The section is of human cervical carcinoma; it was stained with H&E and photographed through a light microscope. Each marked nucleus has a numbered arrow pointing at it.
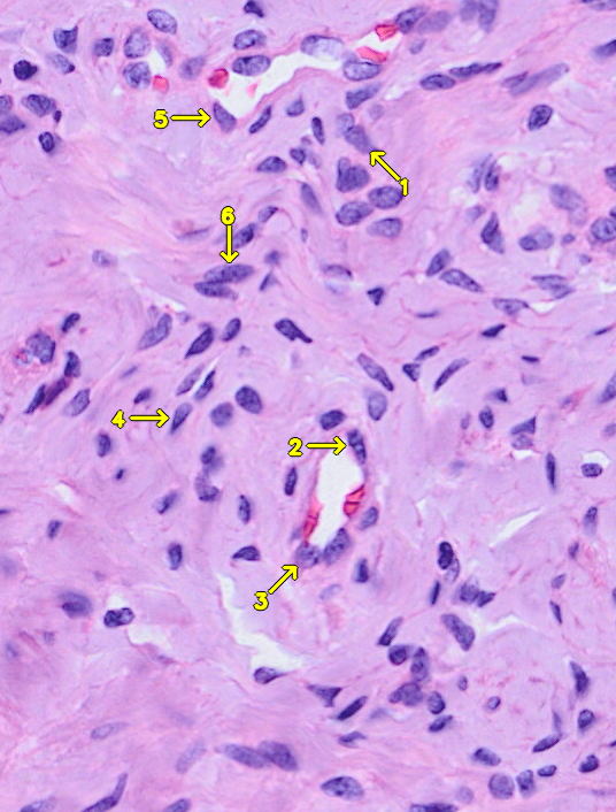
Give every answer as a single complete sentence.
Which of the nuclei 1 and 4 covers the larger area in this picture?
At about 2 times the area of nucleus 4, nucleus 1 is the larger of the two.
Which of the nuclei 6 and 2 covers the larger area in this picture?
At about 1.5 times the area of nucleus 2, nucleus 6 is the larger of the two.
